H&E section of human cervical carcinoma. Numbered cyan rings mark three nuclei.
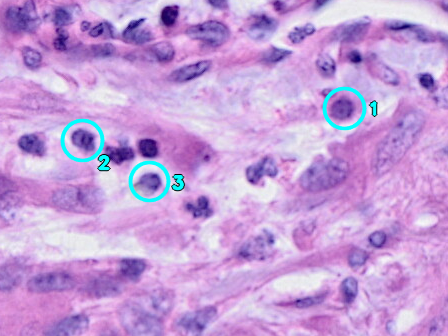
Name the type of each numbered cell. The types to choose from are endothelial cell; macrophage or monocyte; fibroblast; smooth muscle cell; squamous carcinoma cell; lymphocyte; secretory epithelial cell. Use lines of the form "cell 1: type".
cell 1: macrophage or monocyte
cell 2: lymphocyte
cell 3: lymphocyte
